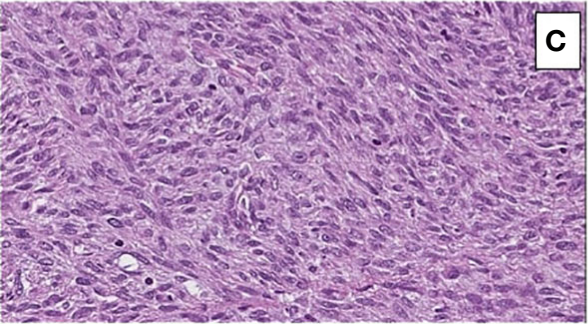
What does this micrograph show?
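This is a high-power view of a spindle cell tumour, with densely packed elongated cells running in intersecting streams. The nuclei are oval to elongated, purple and crowded, and they vary noticeably in size and shape; several are enlarged, irregular or darker than their neighbours, which is nuclear atypia. The cytoplasm is pale pink and scant, with indistinct cell borders, so the cells seem to merge into one another. A few small clear spaces are scattered through the field. There is little intervening stroma; the section is almost entirely tumour cells.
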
